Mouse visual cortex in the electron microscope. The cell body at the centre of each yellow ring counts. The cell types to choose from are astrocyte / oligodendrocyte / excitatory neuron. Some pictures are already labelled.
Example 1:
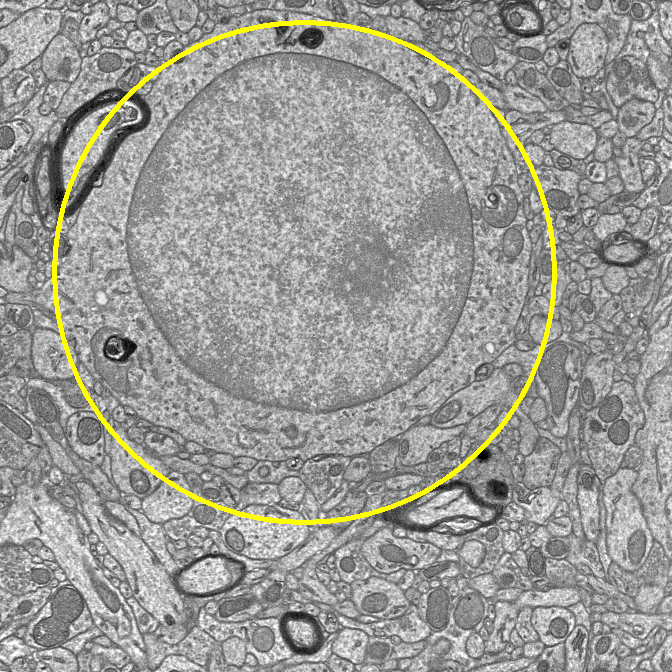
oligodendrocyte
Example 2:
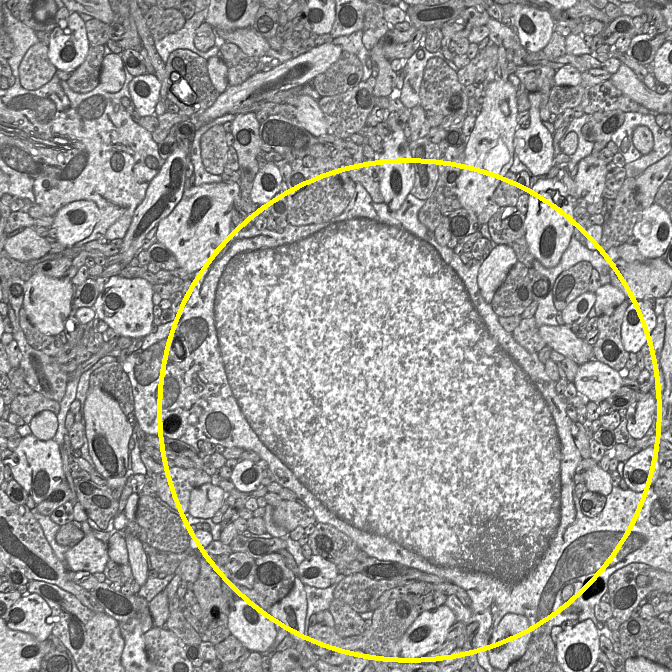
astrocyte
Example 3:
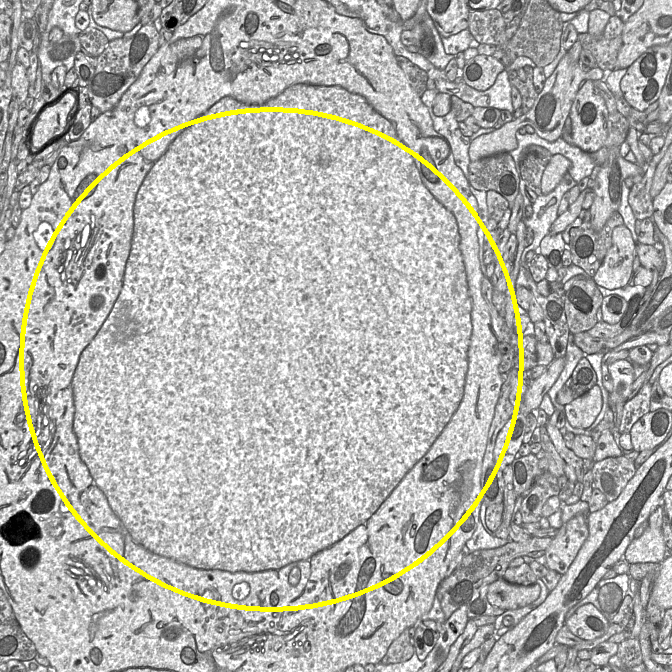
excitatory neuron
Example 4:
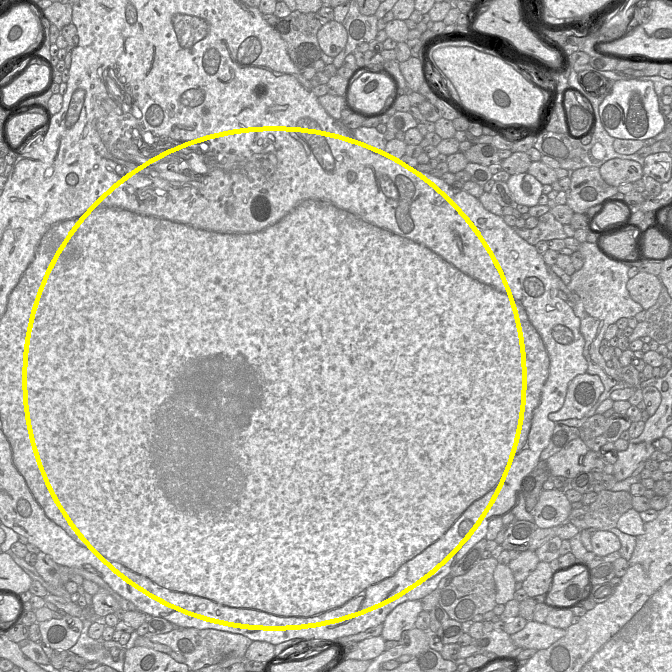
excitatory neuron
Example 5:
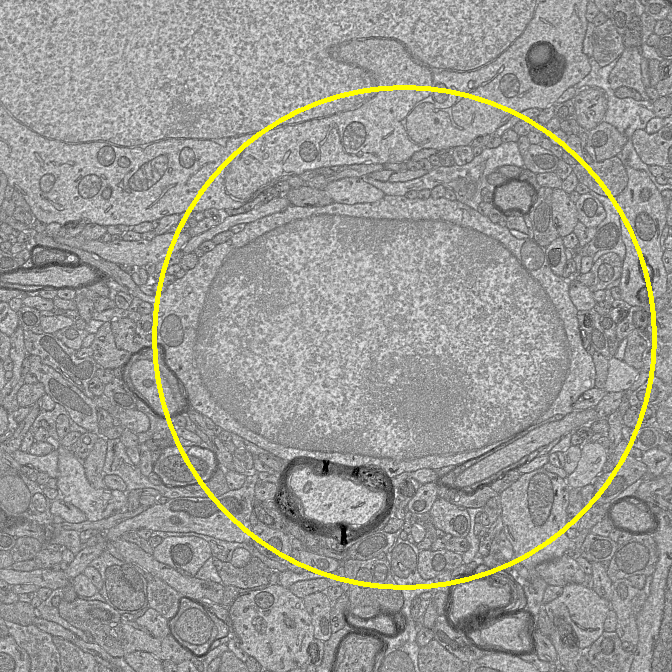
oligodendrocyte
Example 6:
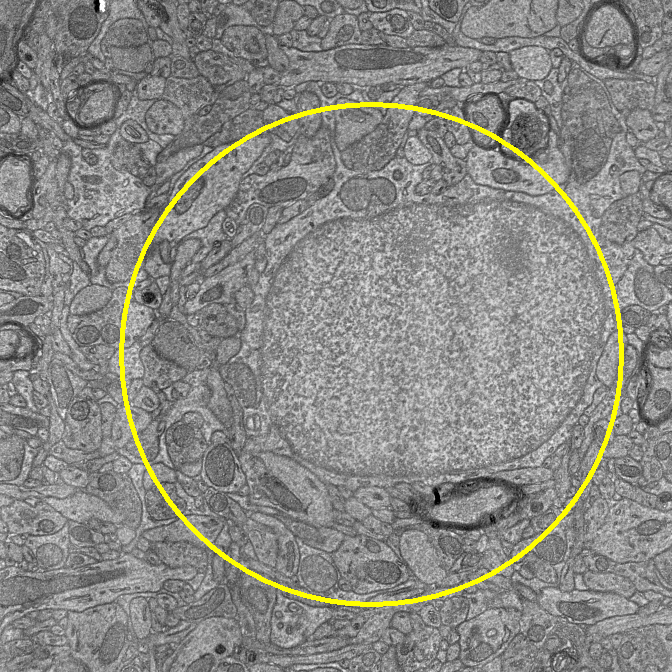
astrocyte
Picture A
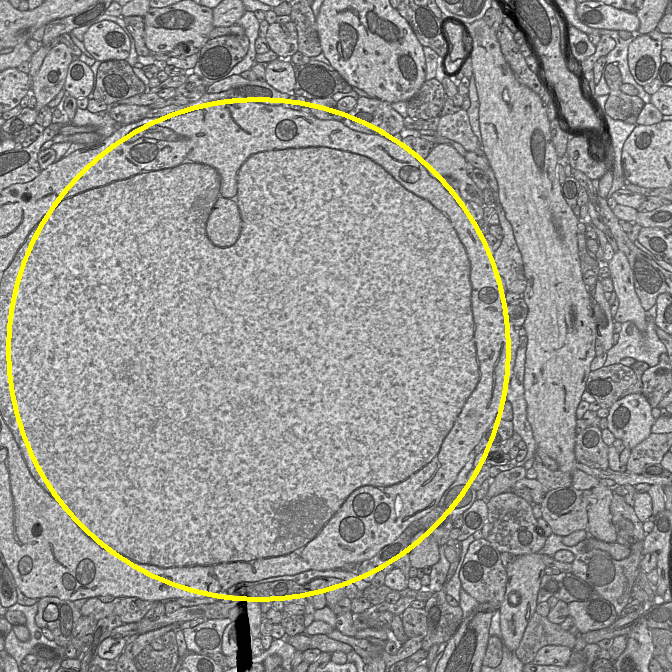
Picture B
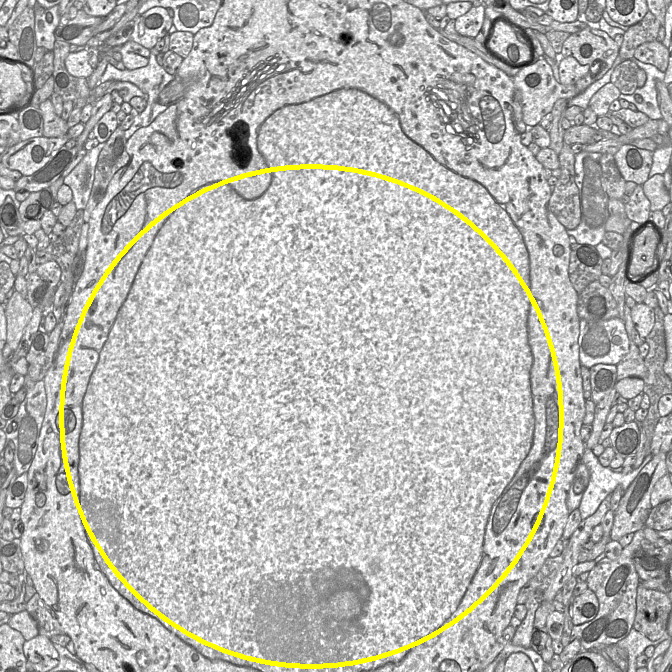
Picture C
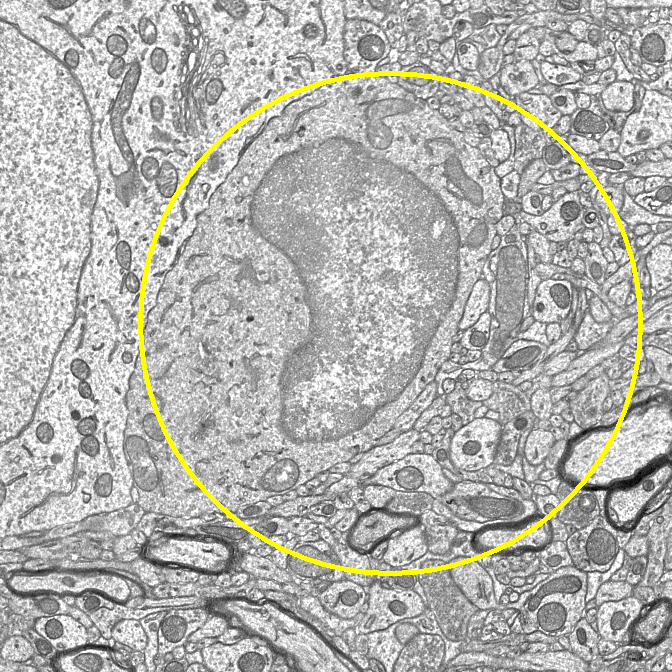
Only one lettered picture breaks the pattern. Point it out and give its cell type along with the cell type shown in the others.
C differs and shows oligodendrocyte; the others show excitatory neuron.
